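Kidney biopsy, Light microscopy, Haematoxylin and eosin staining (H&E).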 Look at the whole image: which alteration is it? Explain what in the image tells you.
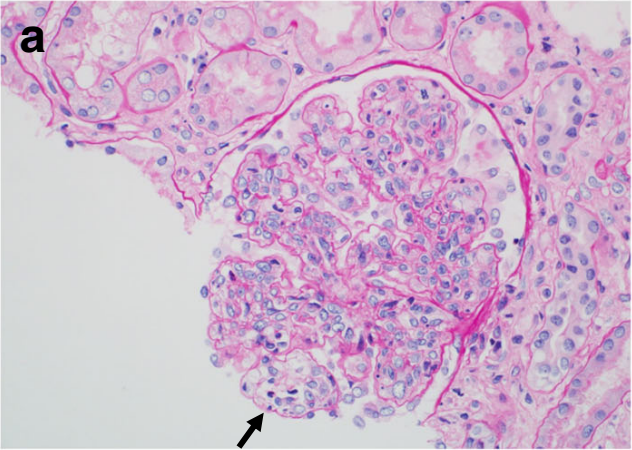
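The glomerular tuft is divided into distinct lobules. The tuft is crowded with nuclei throughout. The tuft nearly fills Bowman's space. That points to this answer: Lobular accentuation with panhypercellularity.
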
